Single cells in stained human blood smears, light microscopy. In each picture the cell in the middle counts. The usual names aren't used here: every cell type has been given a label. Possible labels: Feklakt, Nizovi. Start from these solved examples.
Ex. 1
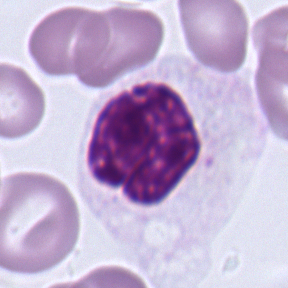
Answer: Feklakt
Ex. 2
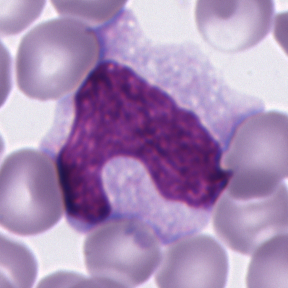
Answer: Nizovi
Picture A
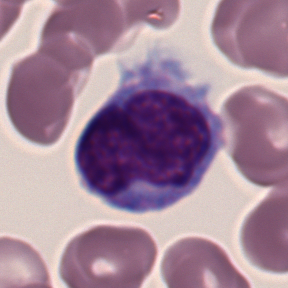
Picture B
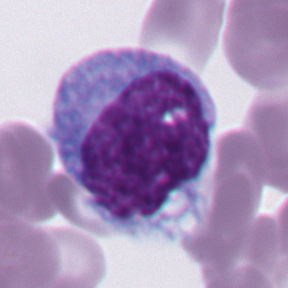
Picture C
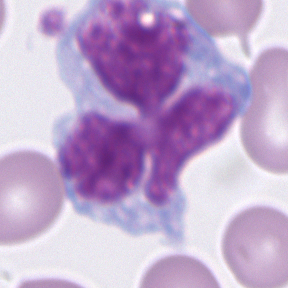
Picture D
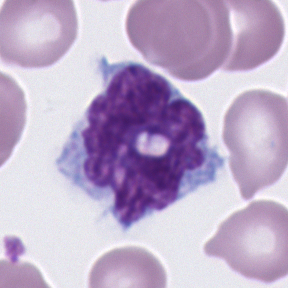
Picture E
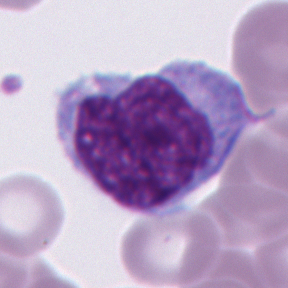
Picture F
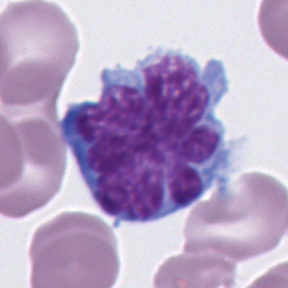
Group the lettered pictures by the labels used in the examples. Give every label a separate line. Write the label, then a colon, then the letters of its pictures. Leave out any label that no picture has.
Nizovi: A, B, C, D, E, F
